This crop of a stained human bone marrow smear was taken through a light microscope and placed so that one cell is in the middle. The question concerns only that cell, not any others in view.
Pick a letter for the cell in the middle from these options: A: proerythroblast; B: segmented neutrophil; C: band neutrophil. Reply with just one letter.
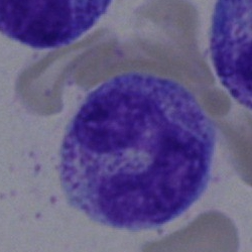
C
